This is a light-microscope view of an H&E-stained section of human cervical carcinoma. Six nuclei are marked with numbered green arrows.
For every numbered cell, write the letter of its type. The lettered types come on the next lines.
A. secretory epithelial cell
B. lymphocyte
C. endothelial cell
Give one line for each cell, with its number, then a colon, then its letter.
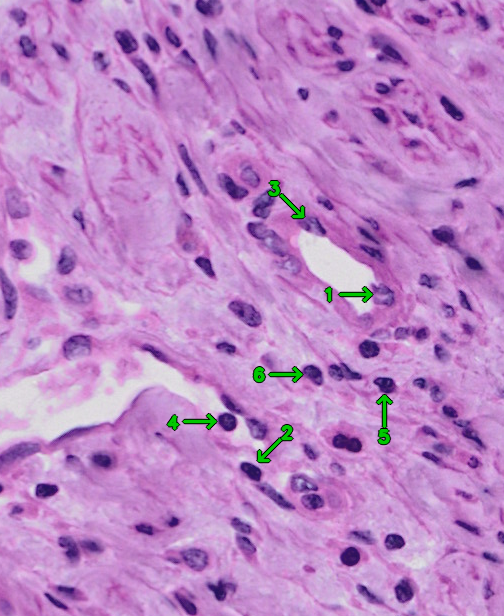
1: C
2: B
3: C
4: B
5: B
6: B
